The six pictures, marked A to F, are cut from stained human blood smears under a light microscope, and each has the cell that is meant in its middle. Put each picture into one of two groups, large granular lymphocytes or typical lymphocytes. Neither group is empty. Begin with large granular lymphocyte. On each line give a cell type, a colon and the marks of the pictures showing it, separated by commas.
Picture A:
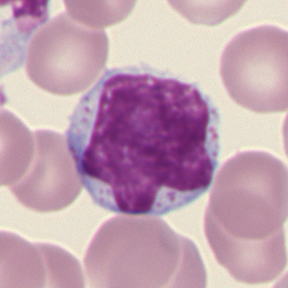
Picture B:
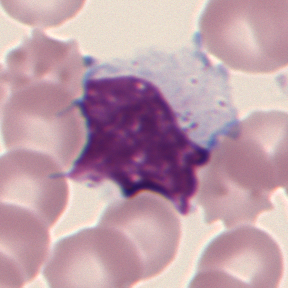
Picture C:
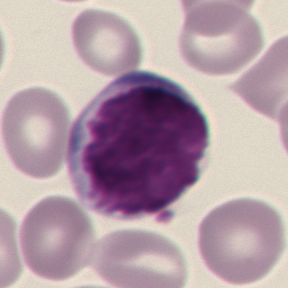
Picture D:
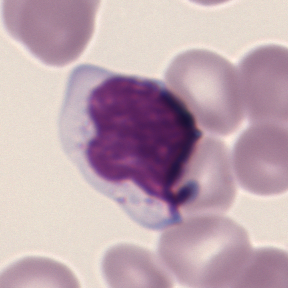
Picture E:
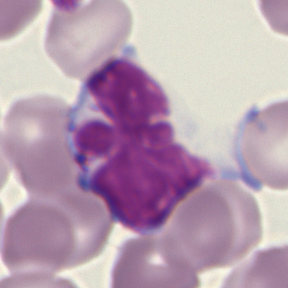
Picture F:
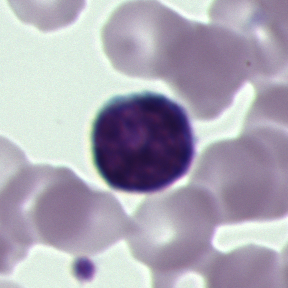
large granular lymphocyte: A, B, C, D
typical lymphocyte: E, F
